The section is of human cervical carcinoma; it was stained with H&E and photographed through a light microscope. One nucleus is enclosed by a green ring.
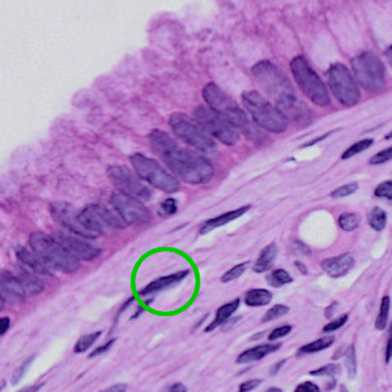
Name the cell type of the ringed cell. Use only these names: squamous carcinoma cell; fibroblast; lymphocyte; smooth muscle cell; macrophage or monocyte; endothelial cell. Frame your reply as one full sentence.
As to its cell type, the ringed cell is a fibroblast.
